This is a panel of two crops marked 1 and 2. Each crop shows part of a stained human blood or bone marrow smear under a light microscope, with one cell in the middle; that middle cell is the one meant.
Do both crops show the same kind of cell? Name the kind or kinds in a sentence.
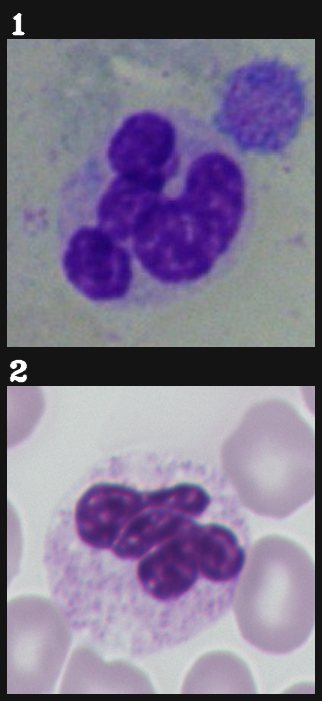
Yes, both crops show segmented neutrophils, and that holds for each one.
